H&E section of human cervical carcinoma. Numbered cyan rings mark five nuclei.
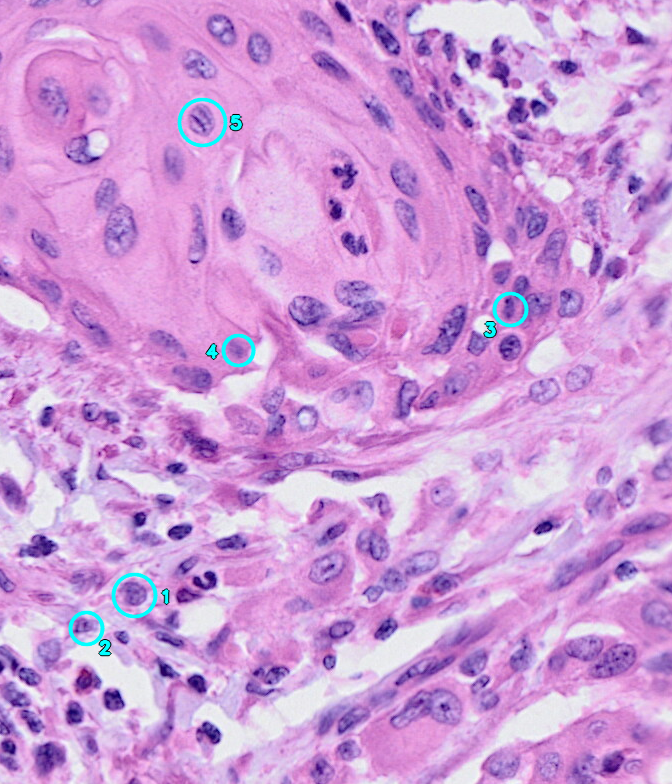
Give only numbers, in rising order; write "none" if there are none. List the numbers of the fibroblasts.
2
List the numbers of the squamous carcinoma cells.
3, 4, 5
